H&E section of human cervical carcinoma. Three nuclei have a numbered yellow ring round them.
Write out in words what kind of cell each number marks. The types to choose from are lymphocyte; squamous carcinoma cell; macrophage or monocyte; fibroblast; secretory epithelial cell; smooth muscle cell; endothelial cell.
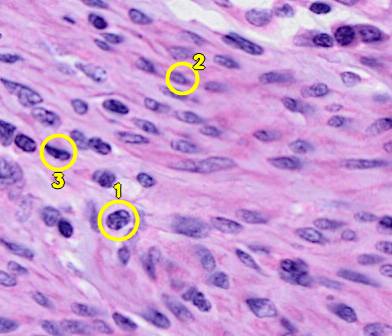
Cells 1 and 3 are lymphocytes. Cell 2 is a smooth muscle cell.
